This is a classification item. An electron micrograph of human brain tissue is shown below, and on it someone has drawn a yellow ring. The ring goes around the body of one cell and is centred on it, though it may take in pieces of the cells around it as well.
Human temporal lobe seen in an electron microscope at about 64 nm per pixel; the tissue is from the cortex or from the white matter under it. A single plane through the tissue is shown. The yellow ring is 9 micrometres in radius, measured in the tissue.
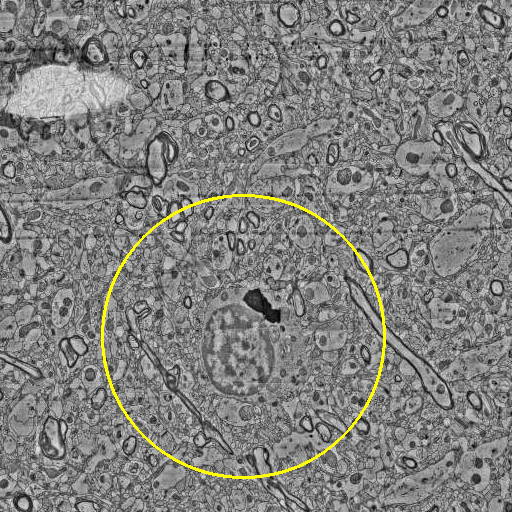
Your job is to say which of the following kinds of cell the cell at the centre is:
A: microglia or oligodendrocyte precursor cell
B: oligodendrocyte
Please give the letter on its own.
B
